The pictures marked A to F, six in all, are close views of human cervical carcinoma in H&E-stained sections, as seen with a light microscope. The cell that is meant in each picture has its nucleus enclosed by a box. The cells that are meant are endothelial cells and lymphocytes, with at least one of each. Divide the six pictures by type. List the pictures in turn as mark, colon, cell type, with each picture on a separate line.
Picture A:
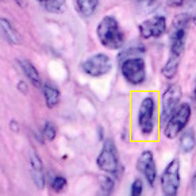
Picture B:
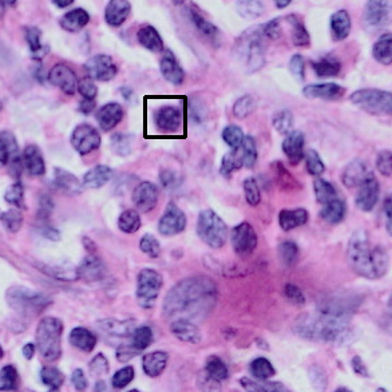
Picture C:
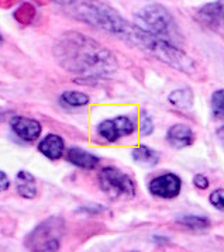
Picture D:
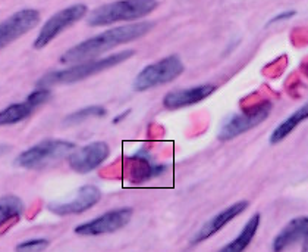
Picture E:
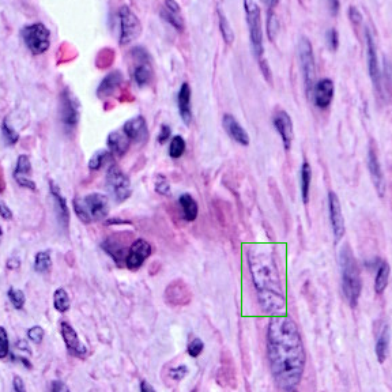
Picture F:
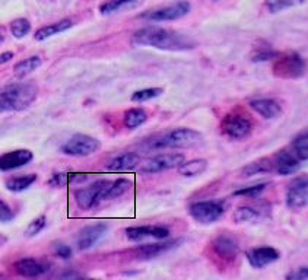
A: lymphocyte
B: lymphocyte
C: lymphocyte
D: endothelial cell
E: endothelial cell
F: endothelial cell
